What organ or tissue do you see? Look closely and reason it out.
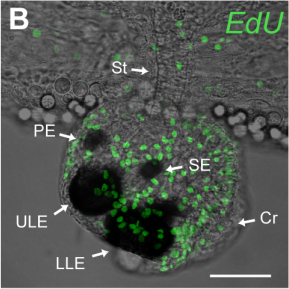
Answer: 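Rhopalia. A rounded club-like body hangs from a thin stalk. Several dark pigmented eye cups of differing size lie within it.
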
